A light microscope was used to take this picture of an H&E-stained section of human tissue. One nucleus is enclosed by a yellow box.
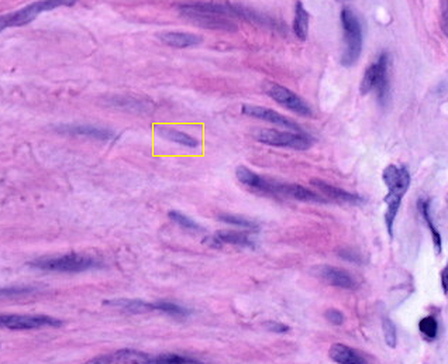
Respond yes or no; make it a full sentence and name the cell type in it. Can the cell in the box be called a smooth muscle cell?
Yes, by cell type, the cell in the box is a smooth muscle cell.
